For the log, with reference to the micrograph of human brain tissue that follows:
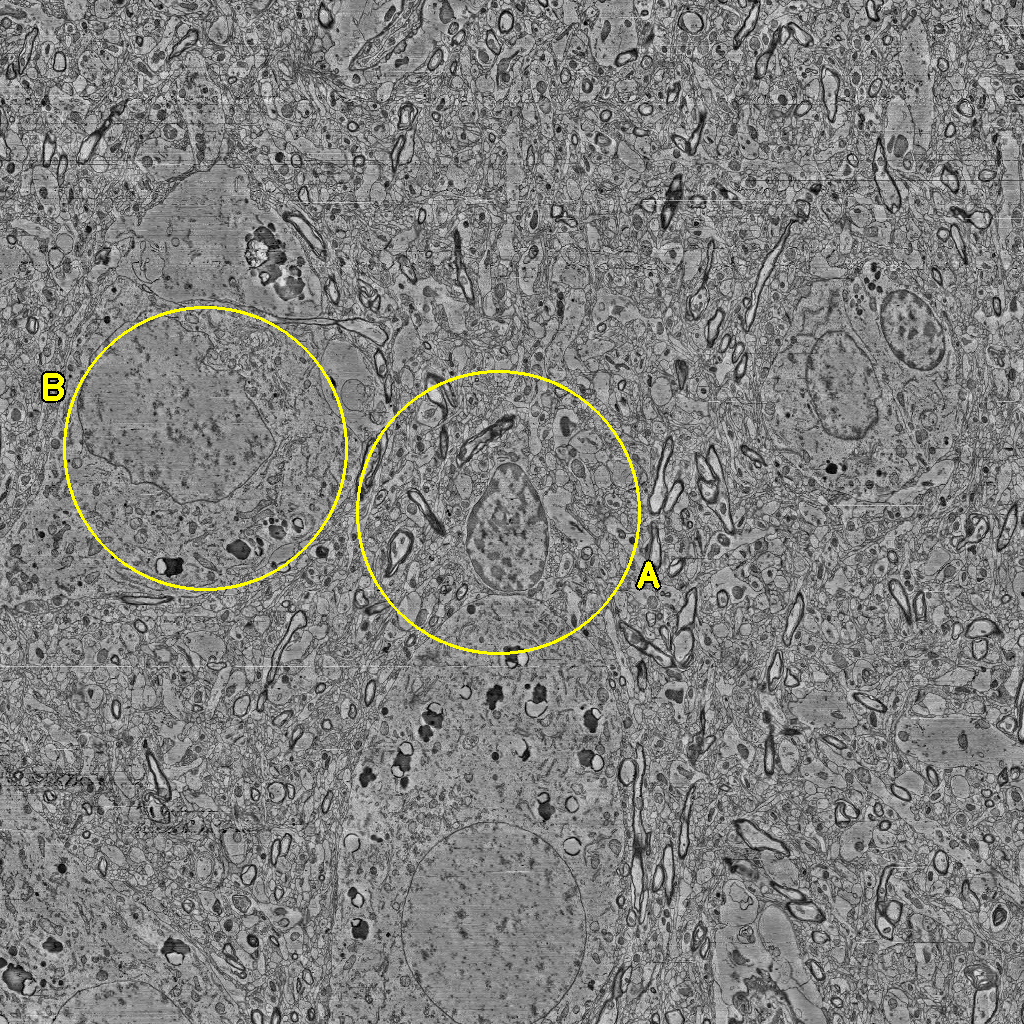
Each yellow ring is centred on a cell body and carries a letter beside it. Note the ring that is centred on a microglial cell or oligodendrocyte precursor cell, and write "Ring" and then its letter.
Ring A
